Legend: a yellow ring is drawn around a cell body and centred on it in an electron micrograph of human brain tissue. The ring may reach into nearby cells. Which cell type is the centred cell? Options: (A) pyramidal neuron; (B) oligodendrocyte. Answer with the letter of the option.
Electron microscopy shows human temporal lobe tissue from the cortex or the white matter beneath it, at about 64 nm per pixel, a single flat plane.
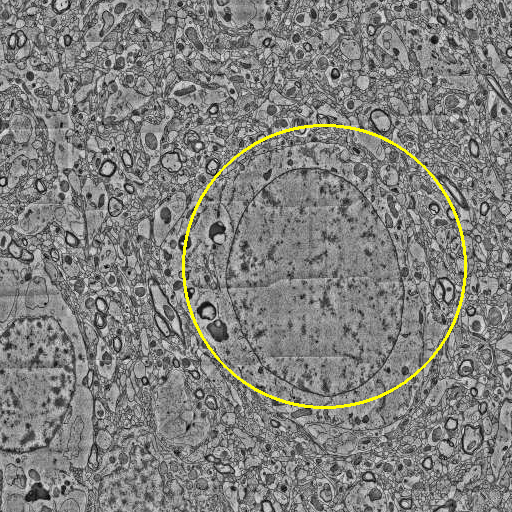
A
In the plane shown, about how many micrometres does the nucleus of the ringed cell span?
In this plane, roughly 15 by 11 micrometres.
